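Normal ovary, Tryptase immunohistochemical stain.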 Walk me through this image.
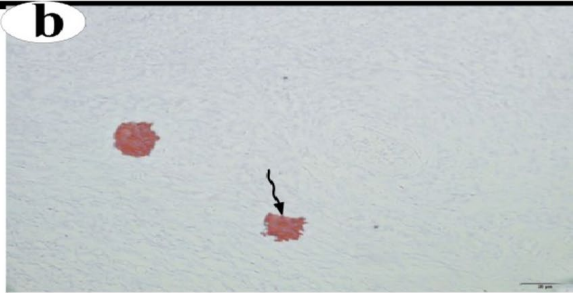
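The surrounding stroma is faintly grey-blue with barely discernible fibrous texture. The two cells are rounded to irregular in outline and filled with reddish-brown granular stain. One of them has a somewhat ragged edge, suggesting granules at its margin. No other stained cells are visible in the field.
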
